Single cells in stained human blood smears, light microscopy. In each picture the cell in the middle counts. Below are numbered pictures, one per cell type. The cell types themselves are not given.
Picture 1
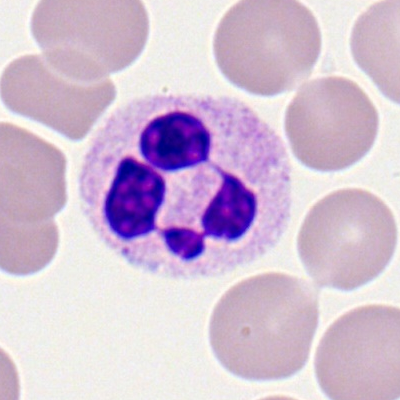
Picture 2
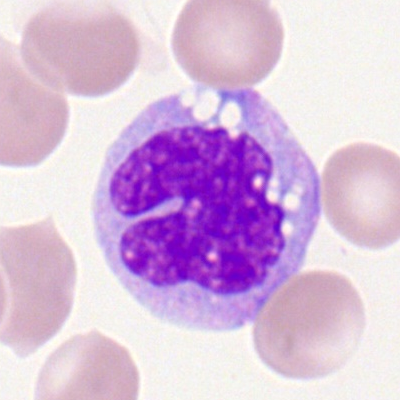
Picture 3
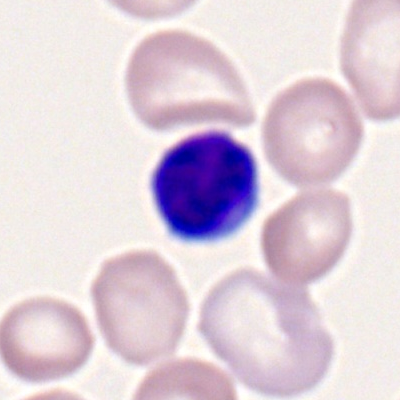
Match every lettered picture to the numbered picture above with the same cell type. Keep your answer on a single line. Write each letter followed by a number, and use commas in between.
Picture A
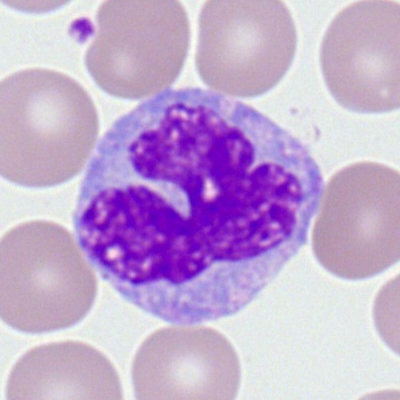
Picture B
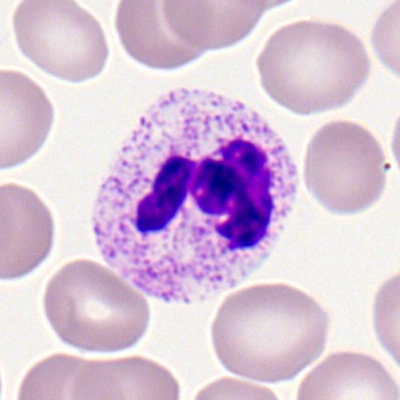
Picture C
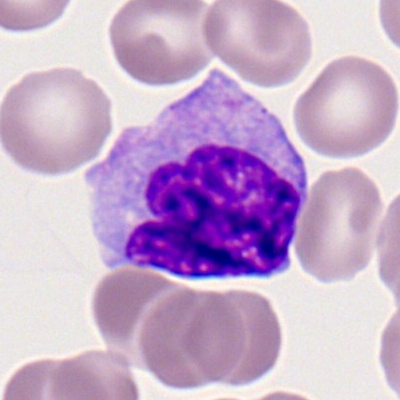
A 2, B 1, C 2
